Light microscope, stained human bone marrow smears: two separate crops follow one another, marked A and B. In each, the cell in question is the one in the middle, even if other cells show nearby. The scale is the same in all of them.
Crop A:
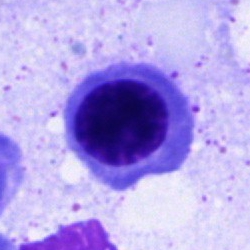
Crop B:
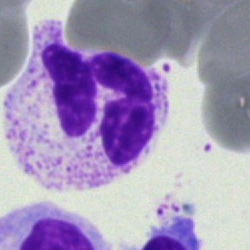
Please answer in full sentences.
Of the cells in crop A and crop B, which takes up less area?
Smaller is the cell in crop A, and the other is about 1.5 times as large in area.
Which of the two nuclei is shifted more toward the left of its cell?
Seen within its cell, the nucleus in crop A lies further toward the left.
